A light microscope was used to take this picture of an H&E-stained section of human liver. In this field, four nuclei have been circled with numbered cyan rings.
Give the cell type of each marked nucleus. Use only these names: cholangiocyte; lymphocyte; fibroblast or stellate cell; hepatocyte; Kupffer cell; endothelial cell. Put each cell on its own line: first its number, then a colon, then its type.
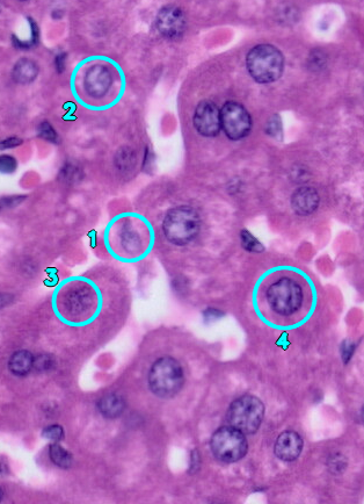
1: Kupffer cell
2: hepatocyte
3: hepatocyte
4: hepatocyte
